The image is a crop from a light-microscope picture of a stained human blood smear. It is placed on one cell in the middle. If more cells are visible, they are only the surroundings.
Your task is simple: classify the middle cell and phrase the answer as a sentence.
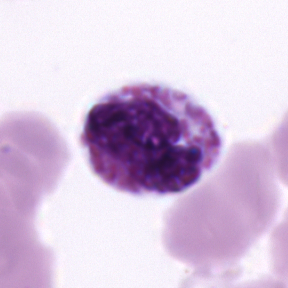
This crop has an eosinophil at its centre.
